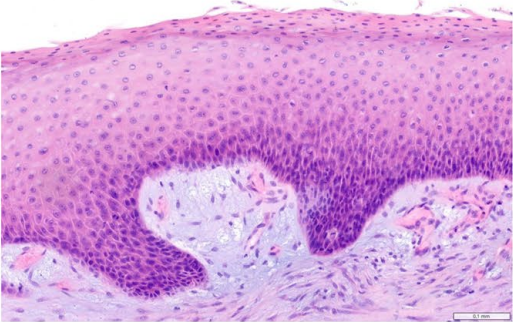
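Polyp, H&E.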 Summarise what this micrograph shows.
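Non-keratinized stratified squamous epithelium covers a loose stroma. The basal layers are crowded with dark nuclei, and the cells become larger and paler pink toward the surface, where they flatten but keep their nuclei, with no keratin layer on top. A rounded tongue of pale, loose stroma with spindle cells and small vessels pushes up into the epithelium.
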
